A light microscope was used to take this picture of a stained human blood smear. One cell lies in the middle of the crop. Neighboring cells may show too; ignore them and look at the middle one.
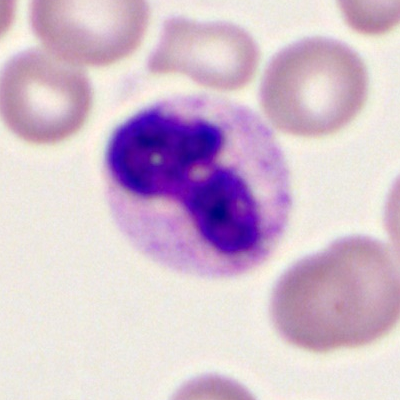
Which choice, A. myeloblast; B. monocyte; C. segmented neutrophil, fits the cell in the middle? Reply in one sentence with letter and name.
Since the cell in the centre is a segmented neutrophil, the correct option is C.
